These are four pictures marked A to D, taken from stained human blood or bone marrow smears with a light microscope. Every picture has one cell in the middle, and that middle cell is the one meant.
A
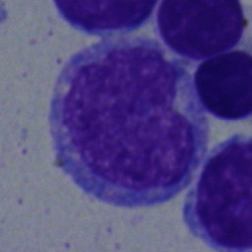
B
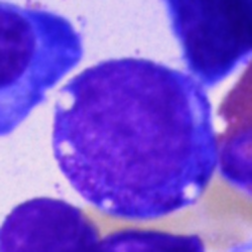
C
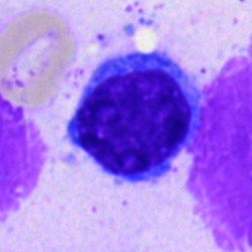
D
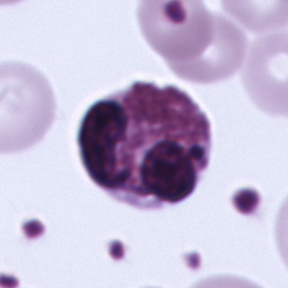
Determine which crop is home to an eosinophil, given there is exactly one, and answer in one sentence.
Of the cells presented, the one in crop D is an eosinophil.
